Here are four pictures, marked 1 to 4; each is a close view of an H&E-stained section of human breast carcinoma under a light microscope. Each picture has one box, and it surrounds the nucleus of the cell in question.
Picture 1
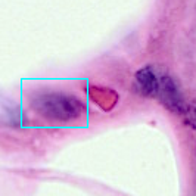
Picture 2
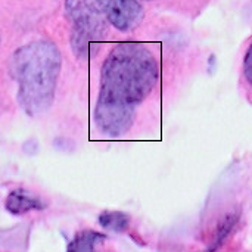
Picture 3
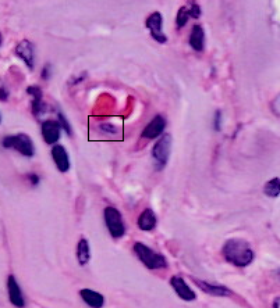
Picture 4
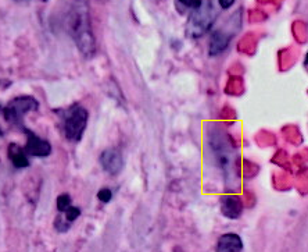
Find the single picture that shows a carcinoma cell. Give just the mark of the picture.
2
